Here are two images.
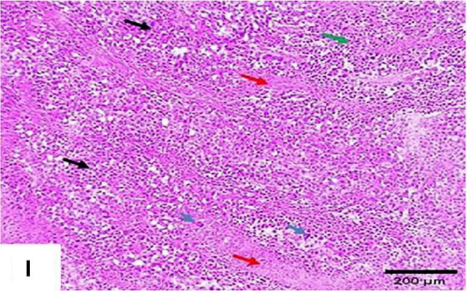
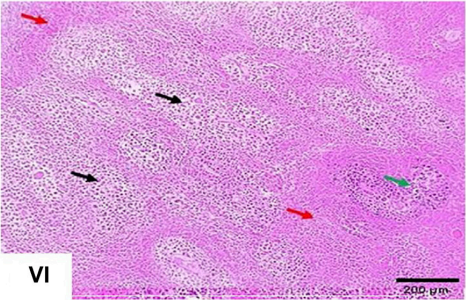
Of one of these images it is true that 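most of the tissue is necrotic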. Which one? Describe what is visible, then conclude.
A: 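The second image. First image: densely packed purple-nucleated cells fill most of the field with only narrow pink bands.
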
